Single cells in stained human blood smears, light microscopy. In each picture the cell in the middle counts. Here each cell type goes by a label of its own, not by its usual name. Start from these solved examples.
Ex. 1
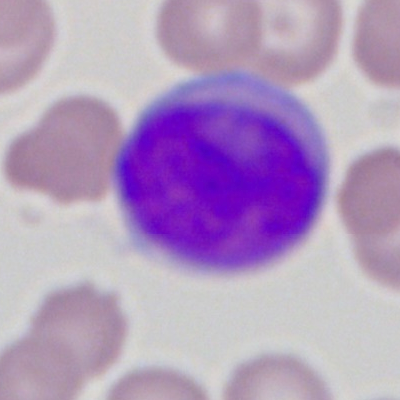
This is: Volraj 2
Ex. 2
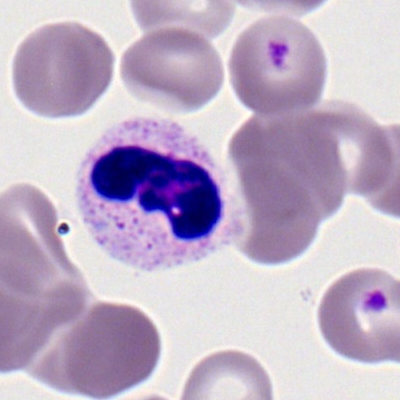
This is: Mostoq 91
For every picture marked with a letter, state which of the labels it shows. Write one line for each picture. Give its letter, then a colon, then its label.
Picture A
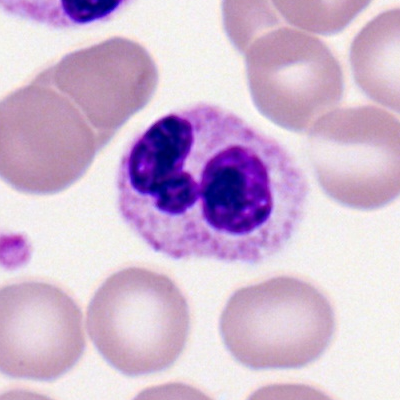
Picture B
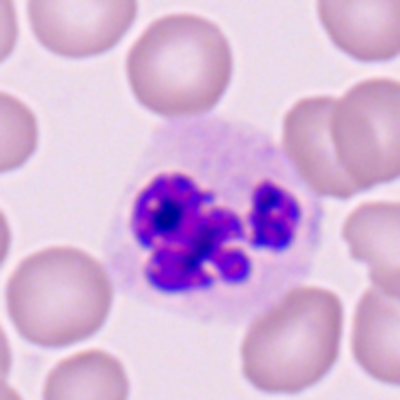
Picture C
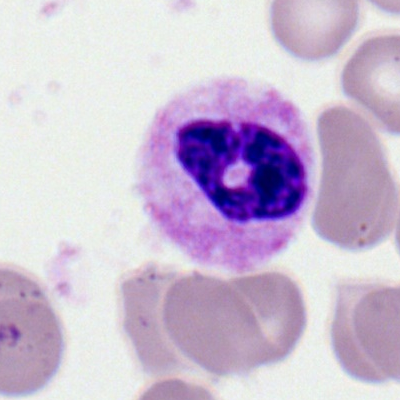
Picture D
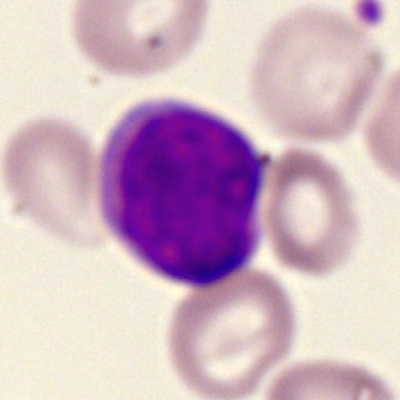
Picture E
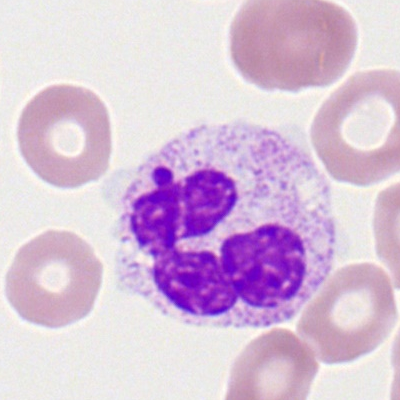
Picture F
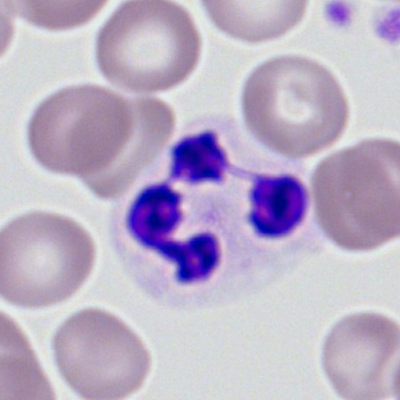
A: Mostoq 91
B: Mostoq 91
C: Mostoq 91
D: Volraj 2
E: Mostoq 91
F: Mostoq 91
